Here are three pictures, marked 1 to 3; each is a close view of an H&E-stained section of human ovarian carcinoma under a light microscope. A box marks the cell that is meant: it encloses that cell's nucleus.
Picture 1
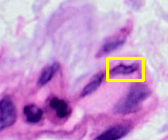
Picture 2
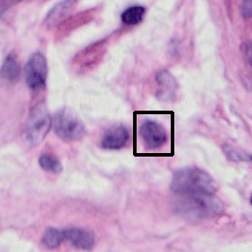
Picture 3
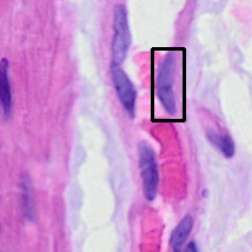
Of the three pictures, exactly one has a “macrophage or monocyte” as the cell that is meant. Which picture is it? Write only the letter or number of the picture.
2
